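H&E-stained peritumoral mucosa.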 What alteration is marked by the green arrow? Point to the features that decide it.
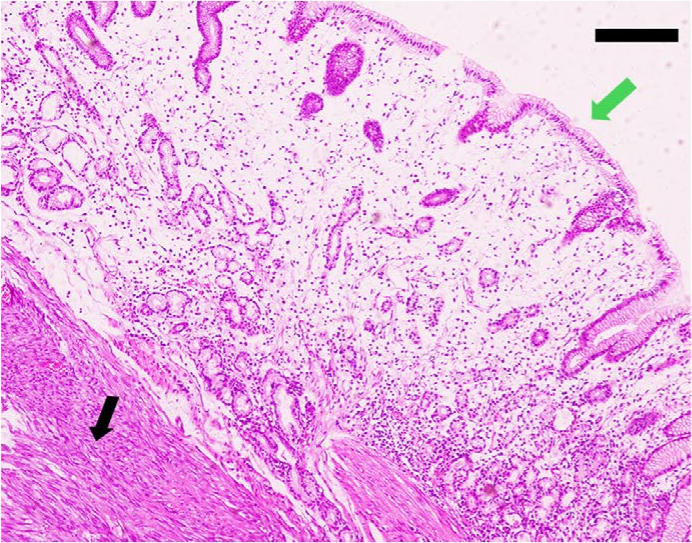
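Atrophic glands. Glands are few, small and widely spaced. The glands lie in a broad, pale, loose stroma with scattered cells. The surface epithelium is thin.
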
